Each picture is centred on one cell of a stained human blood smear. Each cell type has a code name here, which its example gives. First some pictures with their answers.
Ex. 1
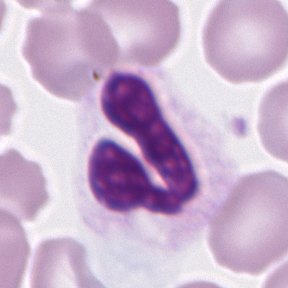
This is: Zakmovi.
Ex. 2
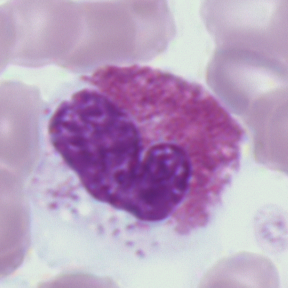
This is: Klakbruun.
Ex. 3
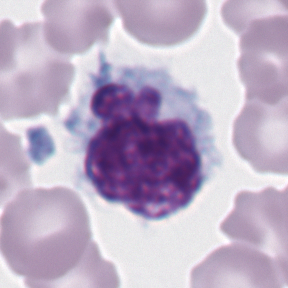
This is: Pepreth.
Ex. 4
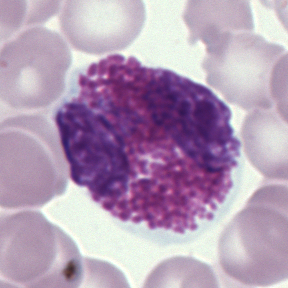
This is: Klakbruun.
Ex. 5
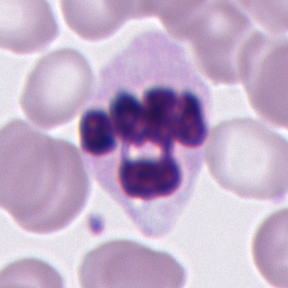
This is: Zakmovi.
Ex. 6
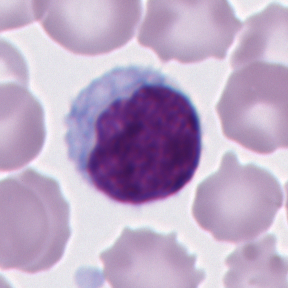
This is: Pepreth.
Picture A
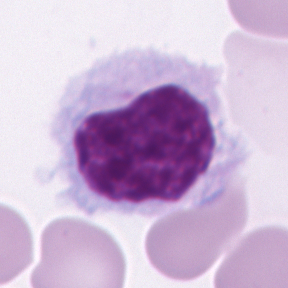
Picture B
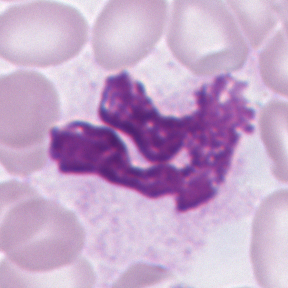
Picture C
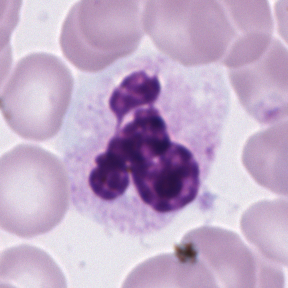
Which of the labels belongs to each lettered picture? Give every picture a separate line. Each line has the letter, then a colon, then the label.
A: Pepreth.
B: Zakmovi.
C: Zakmovi.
